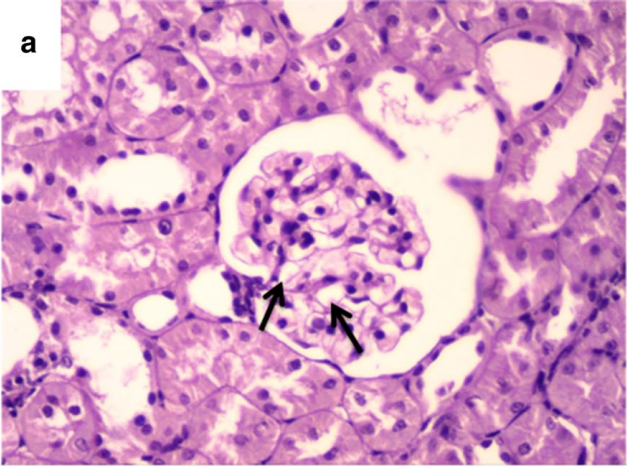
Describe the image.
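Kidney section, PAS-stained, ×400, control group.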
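Renal cortex with a central glomerulus surrounded by proximal and distal tubules. The glomerular tuft is made of delicate capillary loops with thin pink walls enclosing clear open lumina, with scattered dark nuclei between loops. A clear Bowman's space separates the tuft from a thin capsule. The surrounding tubules are lined by cuboidal cells with pink granular cytoplasm and round central nuclei, some with pale luminal content. Nothing in the tuft or tubules looks crowded or collapsed.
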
